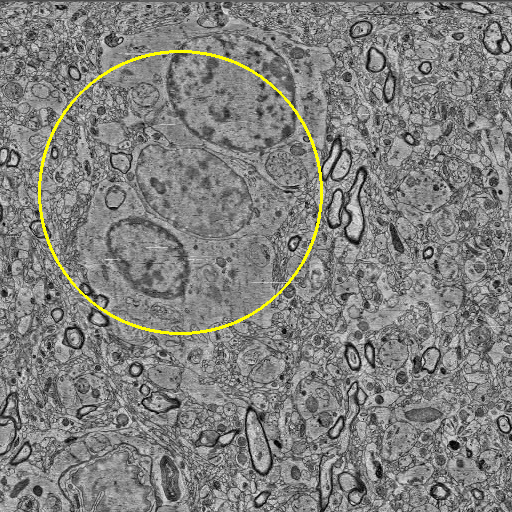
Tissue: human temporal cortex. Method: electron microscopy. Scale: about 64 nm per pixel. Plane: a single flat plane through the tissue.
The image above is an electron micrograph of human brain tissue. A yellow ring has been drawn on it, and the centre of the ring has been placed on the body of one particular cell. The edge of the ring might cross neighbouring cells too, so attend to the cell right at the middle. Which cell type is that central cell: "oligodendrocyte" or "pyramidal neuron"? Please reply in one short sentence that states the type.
The central cell in the ring is an oligodendrocyte.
